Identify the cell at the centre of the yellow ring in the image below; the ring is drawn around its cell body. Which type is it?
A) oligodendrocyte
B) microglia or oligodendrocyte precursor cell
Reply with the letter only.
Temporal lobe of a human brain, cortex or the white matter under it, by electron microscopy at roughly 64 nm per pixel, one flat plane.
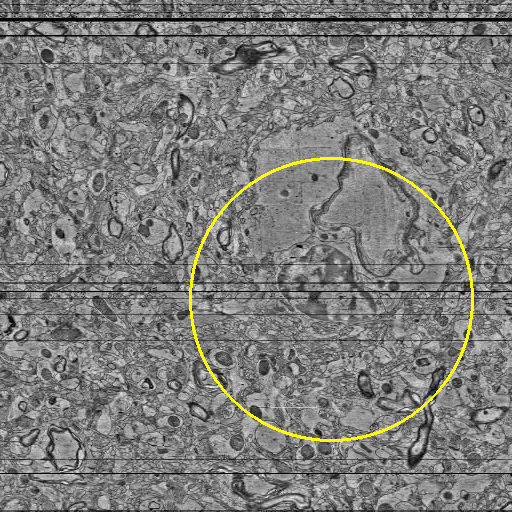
B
